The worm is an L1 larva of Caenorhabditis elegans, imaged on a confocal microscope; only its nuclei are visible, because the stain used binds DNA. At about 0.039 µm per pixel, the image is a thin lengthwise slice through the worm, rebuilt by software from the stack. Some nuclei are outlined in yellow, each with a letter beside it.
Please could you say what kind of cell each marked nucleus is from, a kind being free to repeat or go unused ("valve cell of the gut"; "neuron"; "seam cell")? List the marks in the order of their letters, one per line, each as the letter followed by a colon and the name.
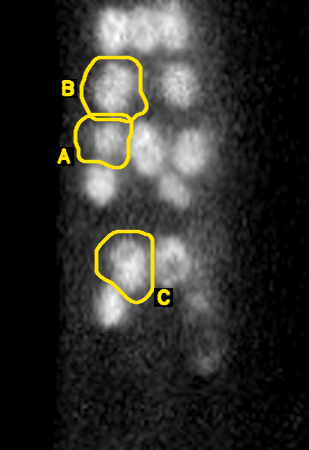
A: neuron
B: neuron
C: valve cell of the gut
